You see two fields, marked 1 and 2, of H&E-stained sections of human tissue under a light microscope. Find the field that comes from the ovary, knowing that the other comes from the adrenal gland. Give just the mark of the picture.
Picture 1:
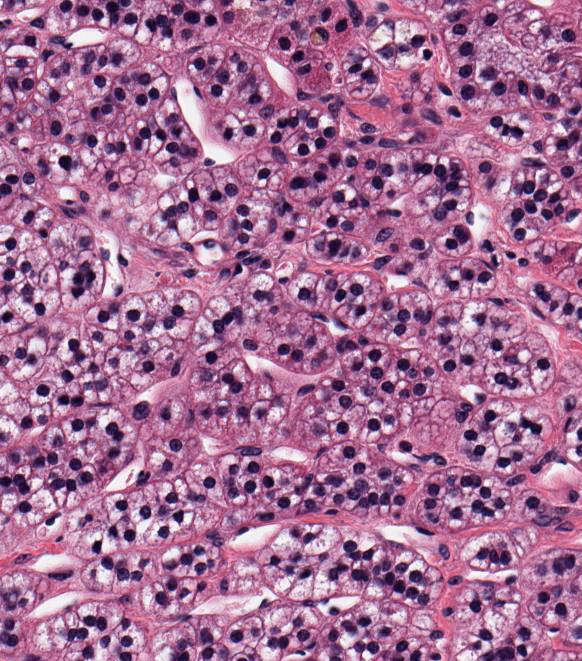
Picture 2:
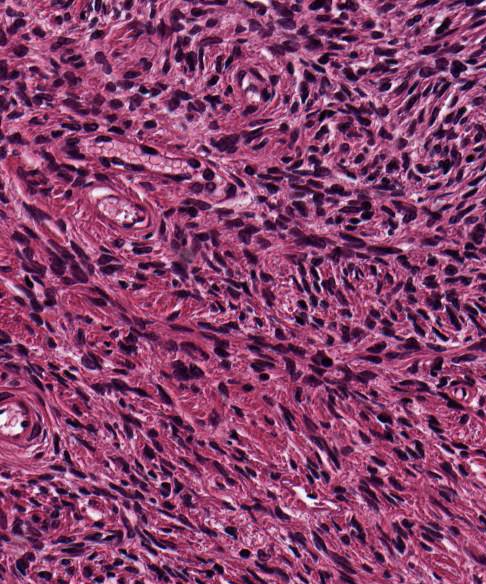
2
